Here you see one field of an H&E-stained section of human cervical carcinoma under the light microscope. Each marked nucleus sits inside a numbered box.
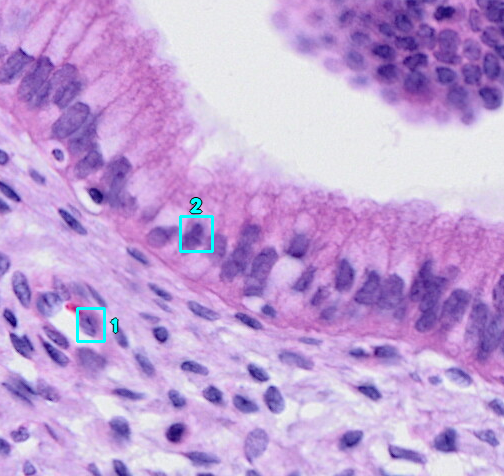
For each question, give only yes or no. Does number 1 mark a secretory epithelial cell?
no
